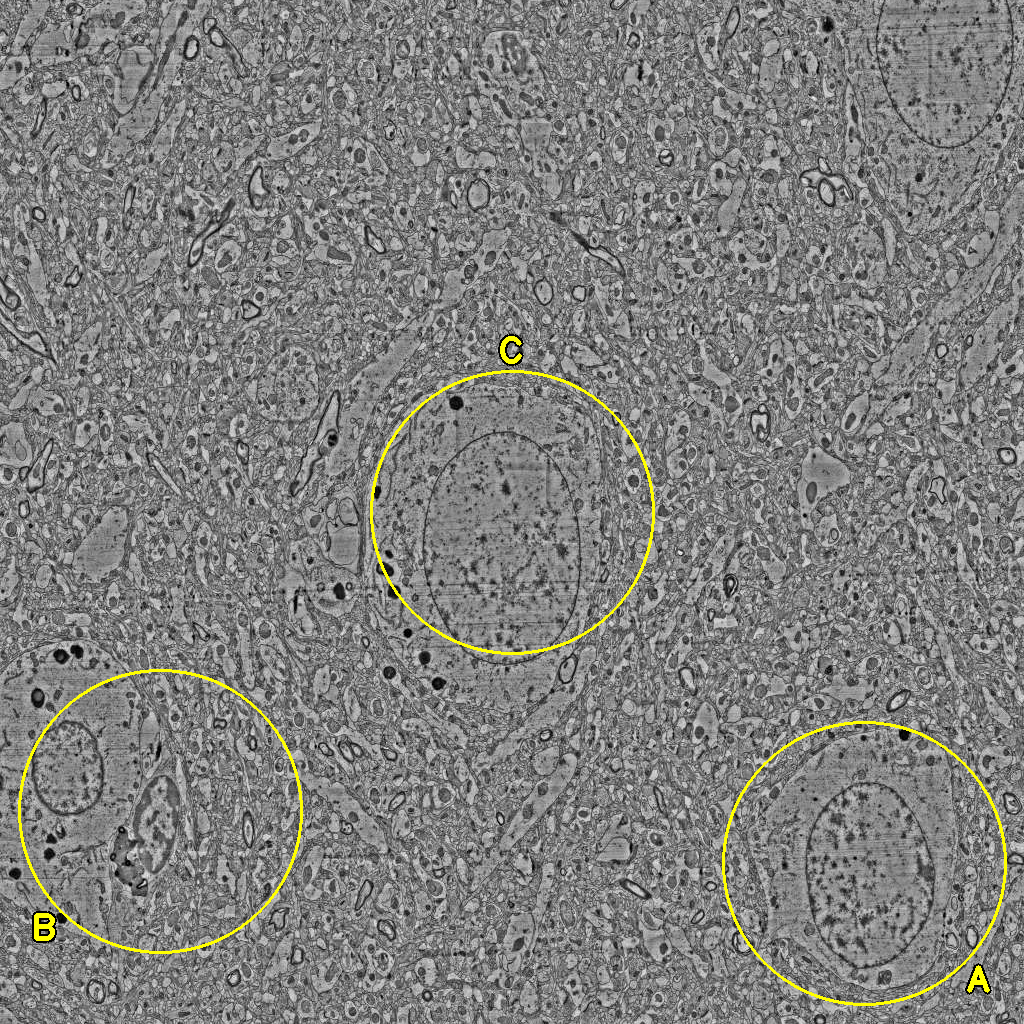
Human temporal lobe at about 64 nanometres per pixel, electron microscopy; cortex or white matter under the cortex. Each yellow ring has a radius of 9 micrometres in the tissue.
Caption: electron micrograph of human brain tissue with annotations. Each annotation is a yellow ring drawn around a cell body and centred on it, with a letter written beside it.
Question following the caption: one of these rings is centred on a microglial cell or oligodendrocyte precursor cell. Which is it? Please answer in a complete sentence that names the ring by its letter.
The ring with the letter B is centred on it.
